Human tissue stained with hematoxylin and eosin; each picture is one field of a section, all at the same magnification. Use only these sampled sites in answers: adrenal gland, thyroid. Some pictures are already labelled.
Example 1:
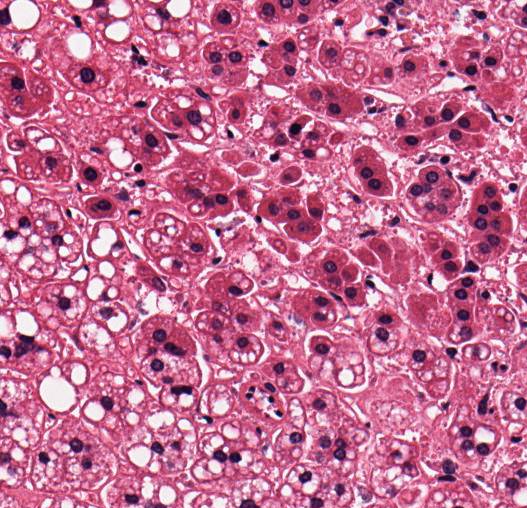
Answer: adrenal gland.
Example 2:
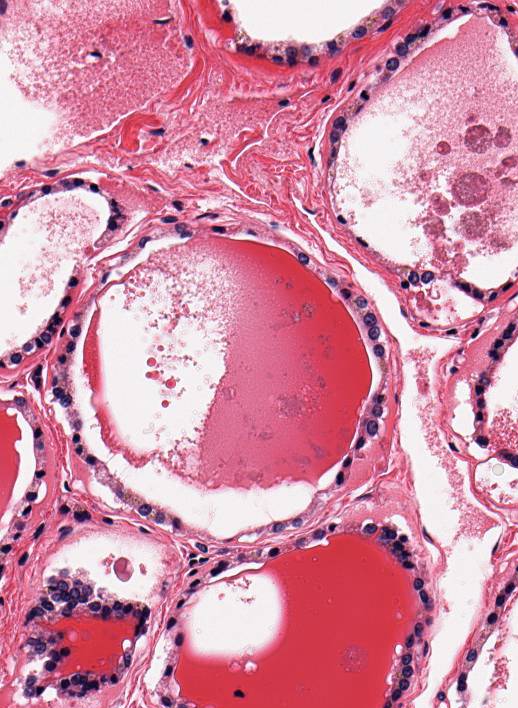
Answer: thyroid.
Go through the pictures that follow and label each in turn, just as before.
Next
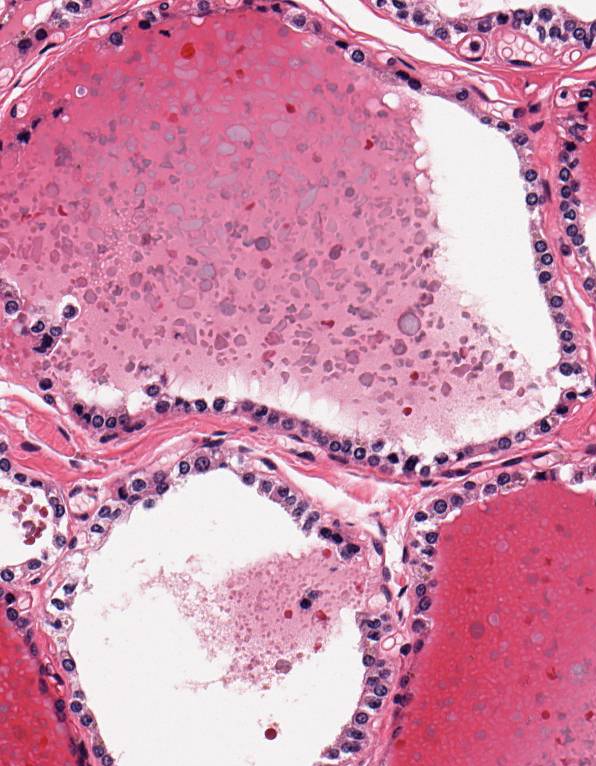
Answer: thyroid.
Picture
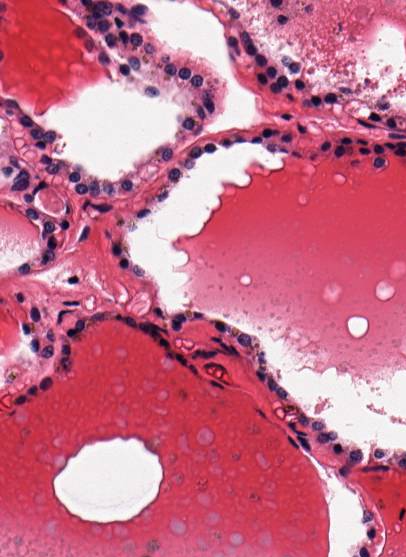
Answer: thyroid.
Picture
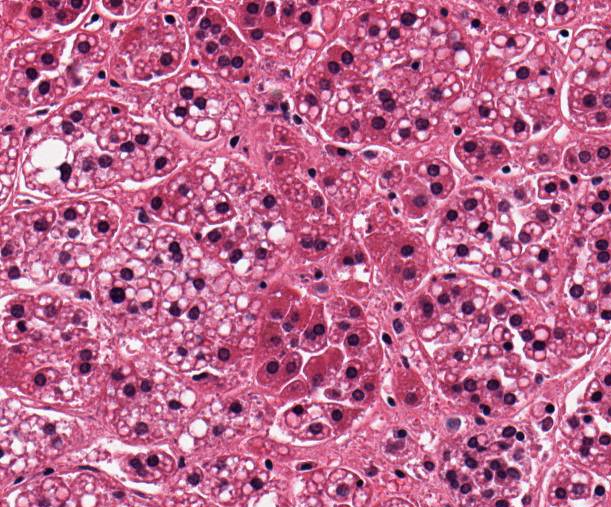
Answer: adrenal gland.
